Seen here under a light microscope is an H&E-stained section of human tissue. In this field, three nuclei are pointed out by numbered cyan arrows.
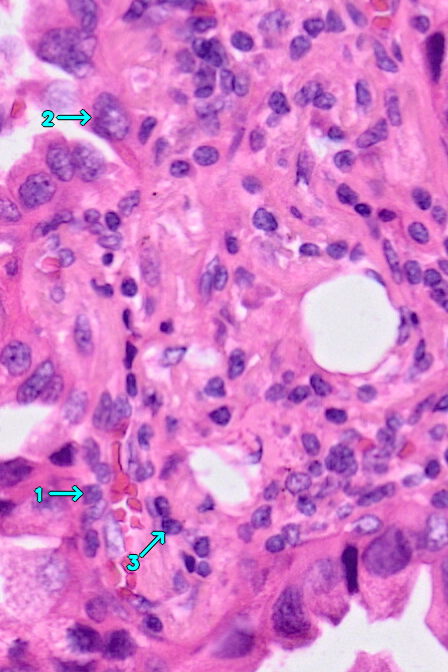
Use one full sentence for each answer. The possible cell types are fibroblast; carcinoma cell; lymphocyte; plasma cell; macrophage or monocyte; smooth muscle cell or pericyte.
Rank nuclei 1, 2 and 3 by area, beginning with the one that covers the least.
Smallest first, the nuclei run 3, 1, 2.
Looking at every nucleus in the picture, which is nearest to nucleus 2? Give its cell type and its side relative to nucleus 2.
A lymphocyte lies closest, to the right of nucleus 2.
